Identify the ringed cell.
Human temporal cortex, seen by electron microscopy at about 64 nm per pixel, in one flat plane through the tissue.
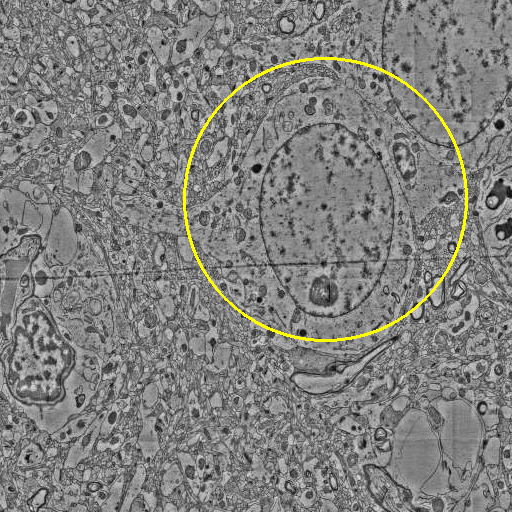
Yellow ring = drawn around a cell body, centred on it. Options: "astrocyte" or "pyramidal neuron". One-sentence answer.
What the ring is centred on is a pyramidal neuron.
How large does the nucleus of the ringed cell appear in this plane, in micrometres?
The nucleus is approximately 12 micrometers long by 9 micrometers wide in this plane.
